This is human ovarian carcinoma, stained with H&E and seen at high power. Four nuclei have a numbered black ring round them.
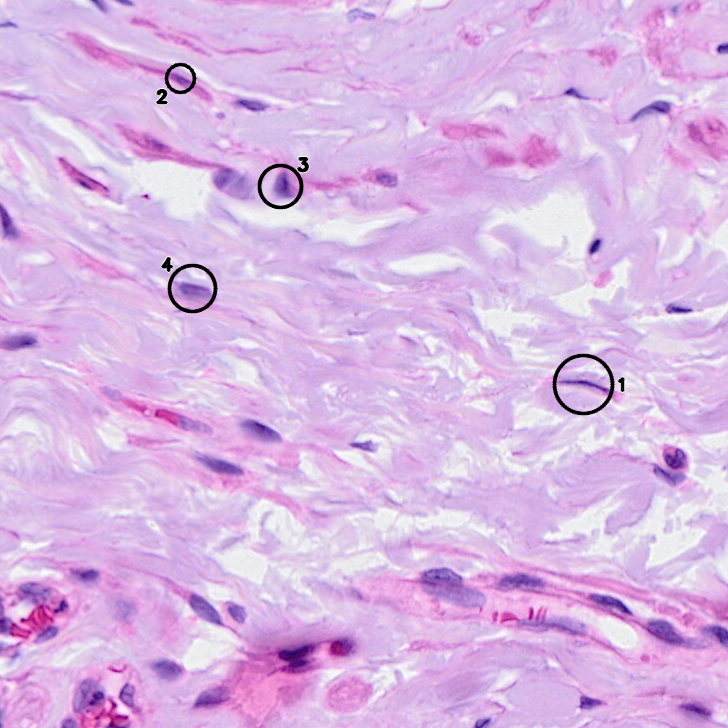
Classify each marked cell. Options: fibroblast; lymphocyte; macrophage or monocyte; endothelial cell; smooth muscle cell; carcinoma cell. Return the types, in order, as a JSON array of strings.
["fibroblast", "smooth muscle cell", "fibroblast", "fibroblast"]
